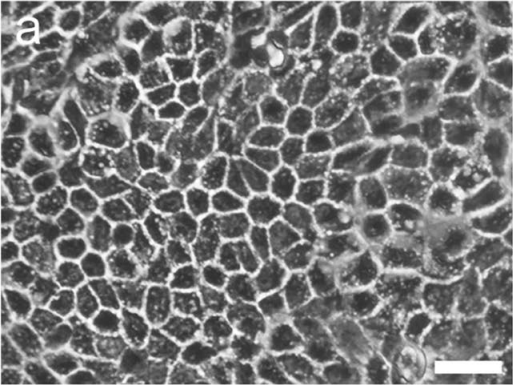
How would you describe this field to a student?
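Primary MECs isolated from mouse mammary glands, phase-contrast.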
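The cytoplasm is dark and granular, and the cells are of fairly even size. A few lighter, larger cells lie among them.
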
